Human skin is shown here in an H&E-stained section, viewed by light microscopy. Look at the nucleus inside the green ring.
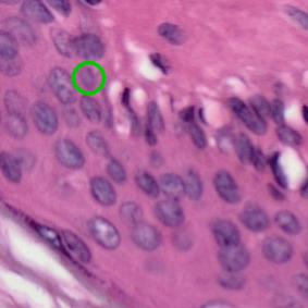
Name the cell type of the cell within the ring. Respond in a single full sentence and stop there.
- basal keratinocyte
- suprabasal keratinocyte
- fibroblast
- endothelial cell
In the context of this tissue, the cell within the ring is a basal keratinocyte.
